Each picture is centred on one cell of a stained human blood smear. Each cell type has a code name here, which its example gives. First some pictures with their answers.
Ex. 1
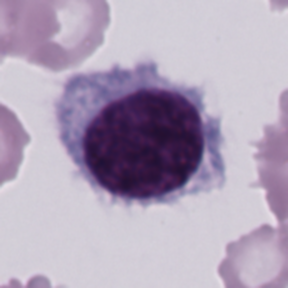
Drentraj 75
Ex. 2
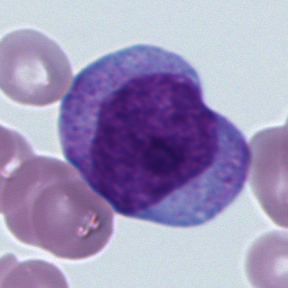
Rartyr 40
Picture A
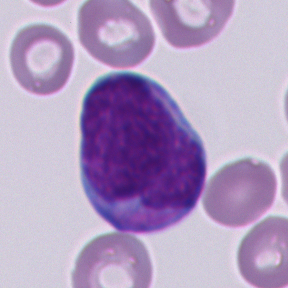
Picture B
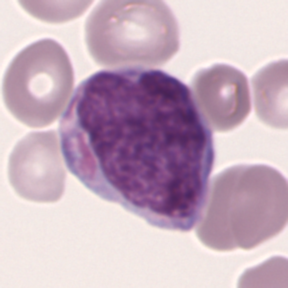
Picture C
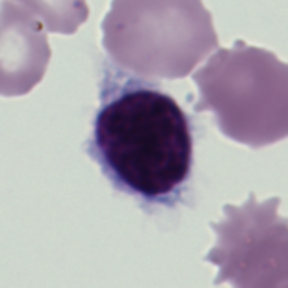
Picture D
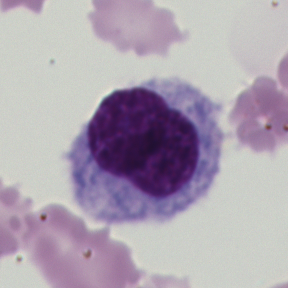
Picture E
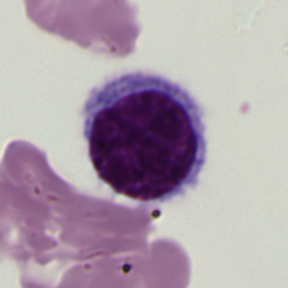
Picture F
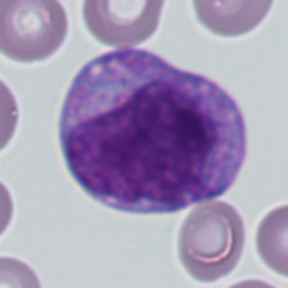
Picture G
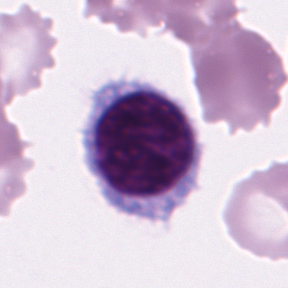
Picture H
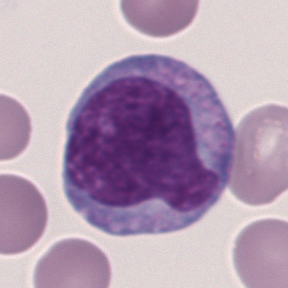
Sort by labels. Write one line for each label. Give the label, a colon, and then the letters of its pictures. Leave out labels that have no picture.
Drentraj 75: C, D, E, G
Rartyr 40: A, B, F, H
